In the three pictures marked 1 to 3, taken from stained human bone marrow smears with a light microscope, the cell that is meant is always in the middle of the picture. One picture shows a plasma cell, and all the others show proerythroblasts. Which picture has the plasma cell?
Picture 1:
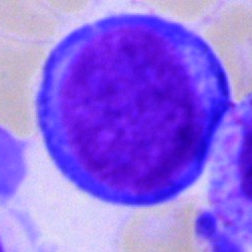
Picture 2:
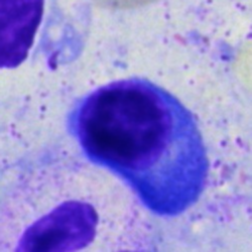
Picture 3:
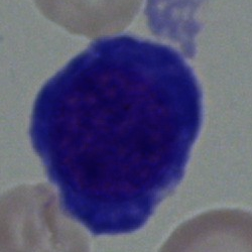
2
